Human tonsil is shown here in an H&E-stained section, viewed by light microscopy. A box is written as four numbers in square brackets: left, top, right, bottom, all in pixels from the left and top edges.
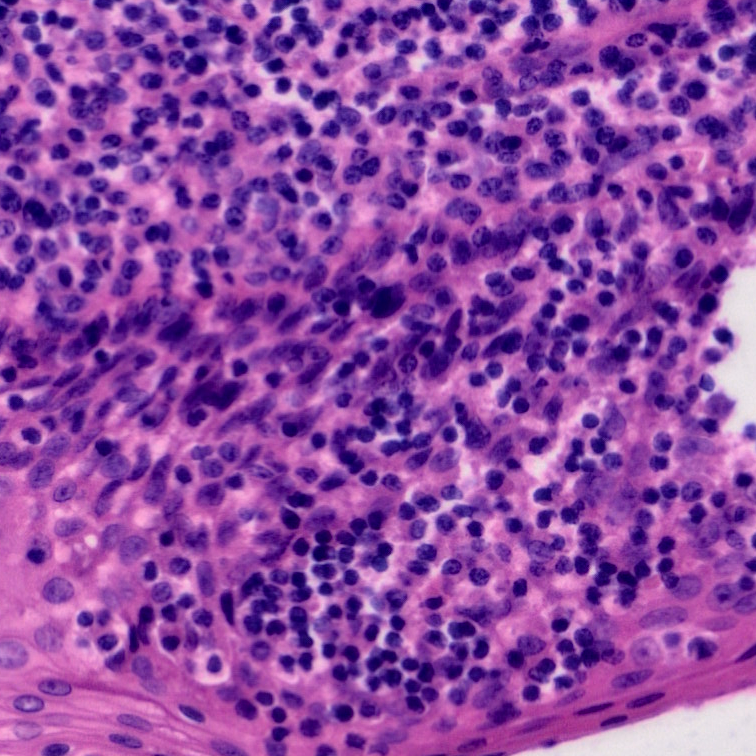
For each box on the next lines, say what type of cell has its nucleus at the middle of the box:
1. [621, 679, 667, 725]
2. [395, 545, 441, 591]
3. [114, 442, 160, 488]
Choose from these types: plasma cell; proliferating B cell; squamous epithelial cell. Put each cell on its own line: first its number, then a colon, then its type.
1: squamous epithelial cell
2: plasma cell
3: squamous epithelial cell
